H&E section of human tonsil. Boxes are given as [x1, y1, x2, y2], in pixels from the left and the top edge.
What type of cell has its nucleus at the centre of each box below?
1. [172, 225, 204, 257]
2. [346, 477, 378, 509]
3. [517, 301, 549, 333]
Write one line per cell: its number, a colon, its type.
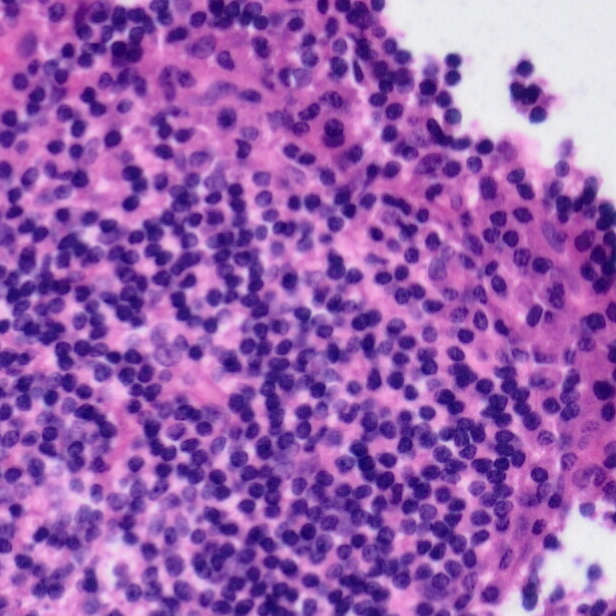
1: small lymphocyte
2: small lymphocyte
3: plasma cell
